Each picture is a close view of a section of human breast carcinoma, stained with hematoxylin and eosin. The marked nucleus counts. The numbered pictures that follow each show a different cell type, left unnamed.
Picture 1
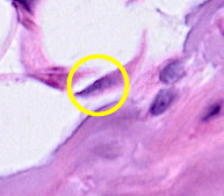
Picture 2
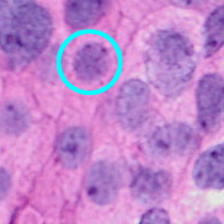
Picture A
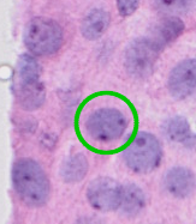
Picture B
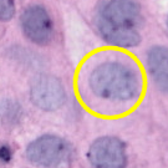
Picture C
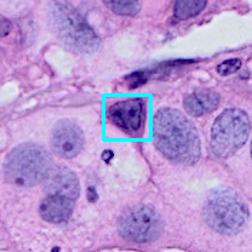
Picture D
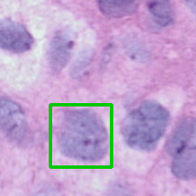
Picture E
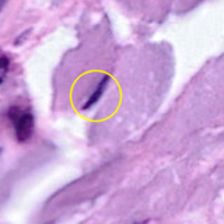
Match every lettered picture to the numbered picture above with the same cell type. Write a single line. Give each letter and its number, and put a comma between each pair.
A 2, B 2, C 2, D 2, E 1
